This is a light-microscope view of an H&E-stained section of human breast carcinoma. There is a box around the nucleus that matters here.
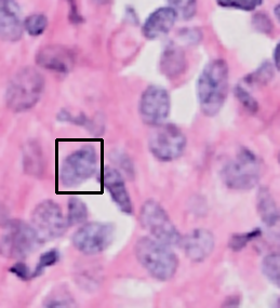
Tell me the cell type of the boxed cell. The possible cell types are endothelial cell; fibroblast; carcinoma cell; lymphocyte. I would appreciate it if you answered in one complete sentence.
At the level of cell identity, the boxed cell is a carcinoma cell.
